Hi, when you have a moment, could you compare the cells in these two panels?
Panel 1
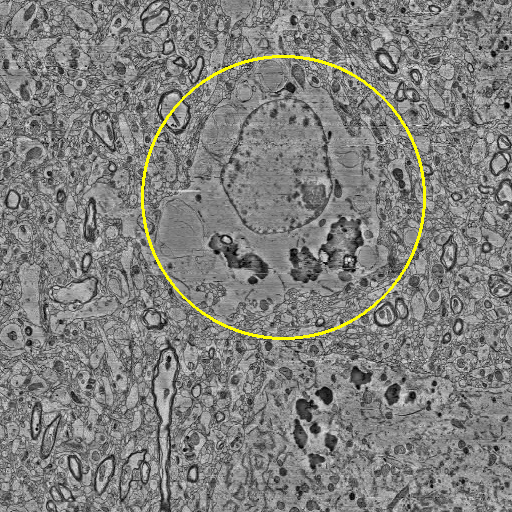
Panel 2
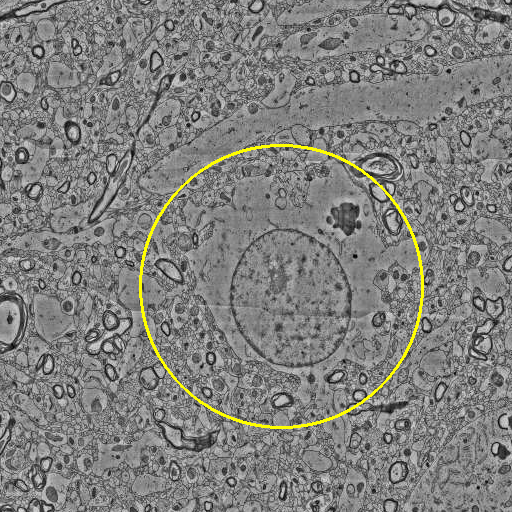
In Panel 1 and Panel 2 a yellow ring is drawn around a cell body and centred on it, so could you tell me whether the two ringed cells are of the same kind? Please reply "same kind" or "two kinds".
same kind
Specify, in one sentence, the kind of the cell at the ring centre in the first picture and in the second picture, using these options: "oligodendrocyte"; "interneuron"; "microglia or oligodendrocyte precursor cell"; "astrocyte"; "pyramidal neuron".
The first and the second cell are each an astrocyte.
